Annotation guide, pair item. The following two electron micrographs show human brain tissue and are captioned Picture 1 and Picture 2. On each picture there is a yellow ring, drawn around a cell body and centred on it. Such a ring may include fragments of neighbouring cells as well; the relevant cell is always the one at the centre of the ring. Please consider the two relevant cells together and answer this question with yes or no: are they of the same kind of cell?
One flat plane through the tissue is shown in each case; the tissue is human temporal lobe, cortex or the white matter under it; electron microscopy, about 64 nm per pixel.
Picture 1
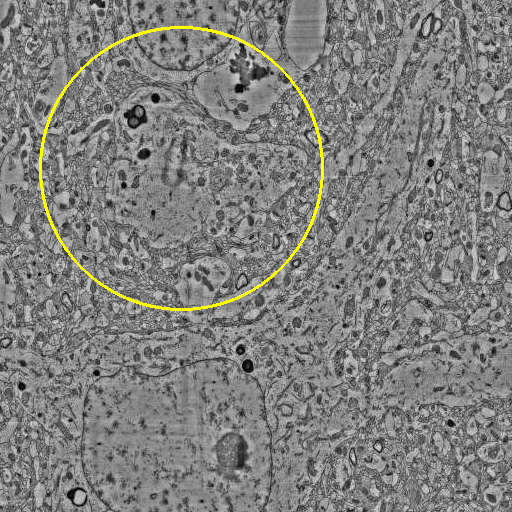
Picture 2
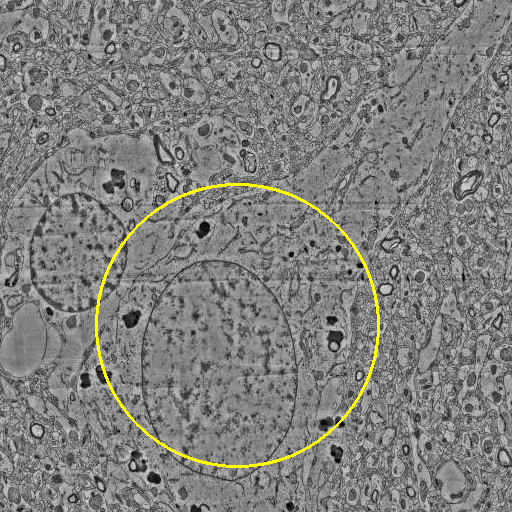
yes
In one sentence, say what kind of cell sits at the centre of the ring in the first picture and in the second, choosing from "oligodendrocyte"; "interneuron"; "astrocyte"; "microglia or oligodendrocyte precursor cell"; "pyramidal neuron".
The ring centre holds a pyramidal neuron in each of the two pictures.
